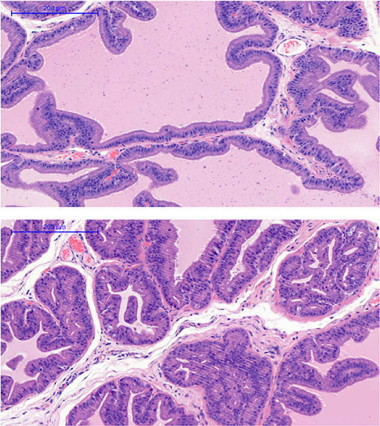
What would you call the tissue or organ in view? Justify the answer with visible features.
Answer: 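The epithelium is thrown into papillary infoldings into the lumina. Lumina hold pale pink secretion. Thin fibromuscular stroma with small vessels lies between the glands.
Answer: prostate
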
